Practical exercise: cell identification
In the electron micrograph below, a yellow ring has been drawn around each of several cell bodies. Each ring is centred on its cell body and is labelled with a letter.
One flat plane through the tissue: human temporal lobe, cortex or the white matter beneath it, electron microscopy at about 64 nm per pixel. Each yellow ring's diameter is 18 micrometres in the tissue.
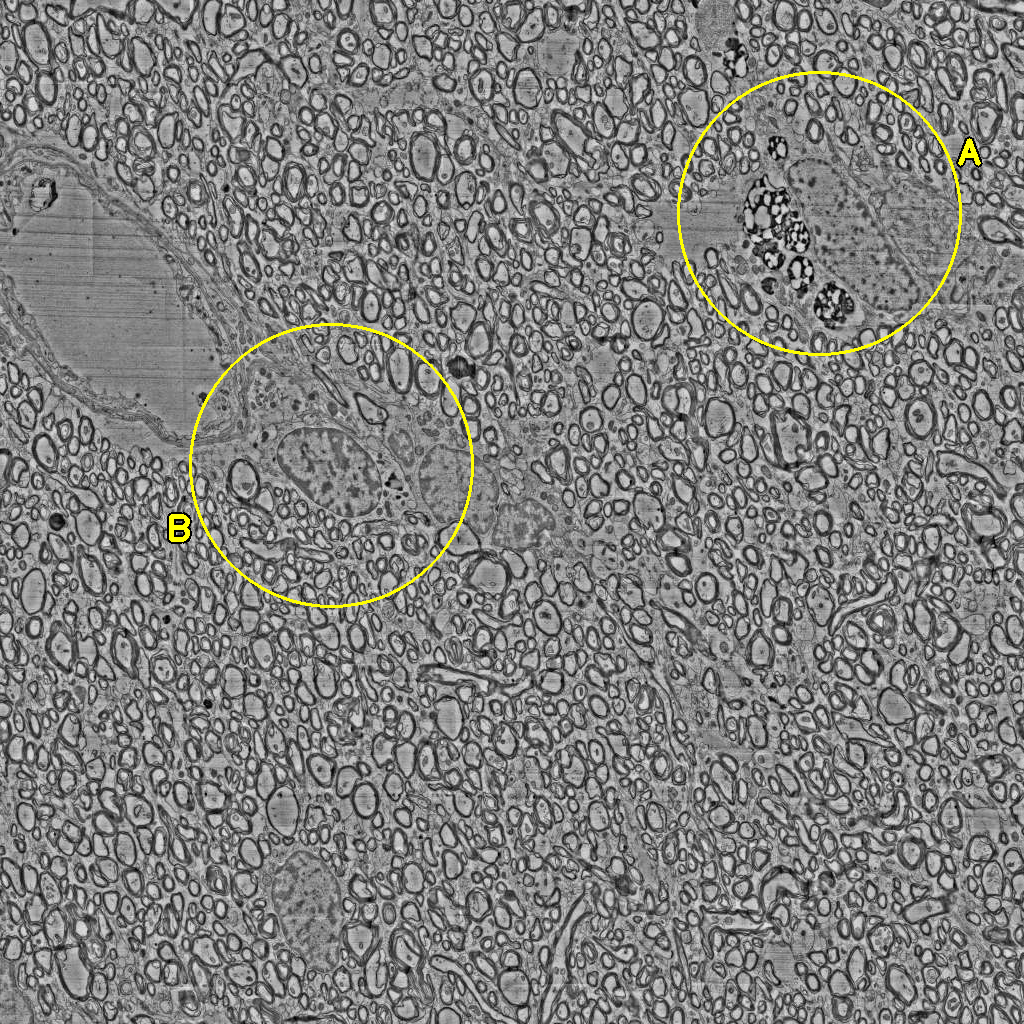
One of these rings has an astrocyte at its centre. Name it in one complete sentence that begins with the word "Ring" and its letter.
Ring A has that cell at its centre.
